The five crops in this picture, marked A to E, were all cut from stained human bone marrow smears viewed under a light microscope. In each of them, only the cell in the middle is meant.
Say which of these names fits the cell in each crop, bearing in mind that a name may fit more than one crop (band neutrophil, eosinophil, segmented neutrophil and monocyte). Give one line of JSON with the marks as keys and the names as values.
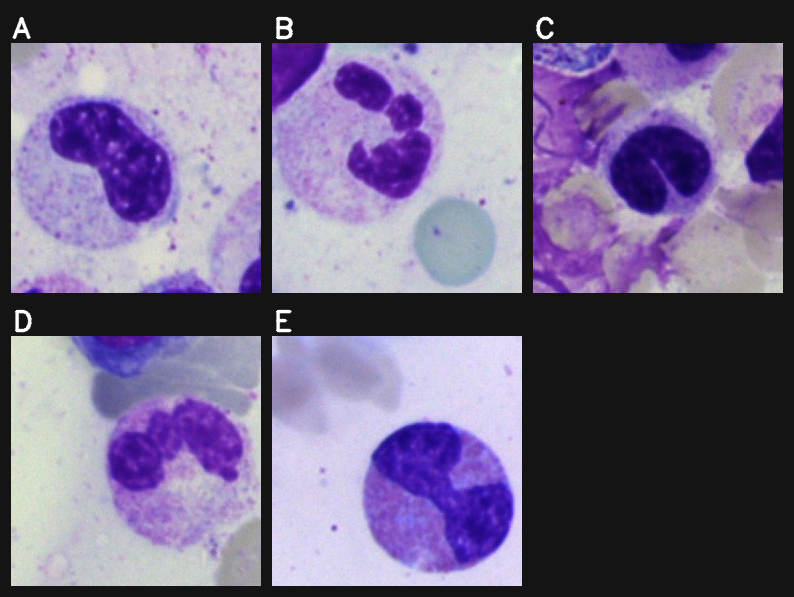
{"A": "band neutrophil", "B": "segmented neutrophil", "C": "band neutrophil", "D": "segmented neutrophil", "E": "eosinophil"}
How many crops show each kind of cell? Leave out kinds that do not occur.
band neutrophil: 2
segmented neutrophil: 2
eosinophil: 1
